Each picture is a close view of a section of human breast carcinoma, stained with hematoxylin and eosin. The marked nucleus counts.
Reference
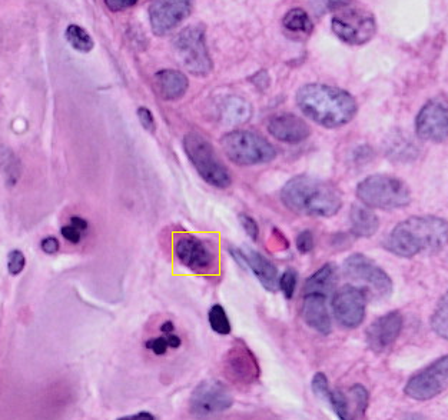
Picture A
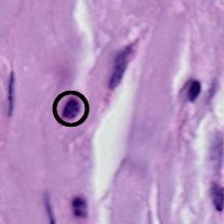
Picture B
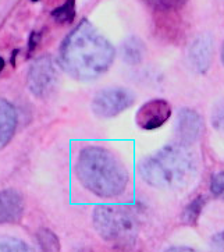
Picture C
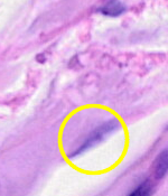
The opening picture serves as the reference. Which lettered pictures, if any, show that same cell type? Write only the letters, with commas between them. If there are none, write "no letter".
A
